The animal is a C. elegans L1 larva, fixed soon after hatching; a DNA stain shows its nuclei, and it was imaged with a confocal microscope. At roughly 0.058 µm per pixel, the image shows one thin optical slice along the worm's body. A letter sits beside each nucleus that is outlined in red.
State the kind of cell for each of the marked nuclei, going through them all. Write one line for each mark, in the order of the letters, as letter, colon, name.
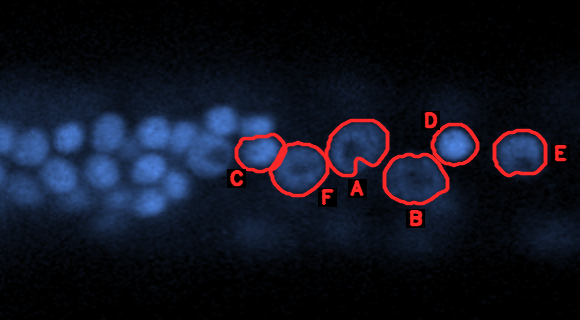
A: hypodermal cell (hyp)
B: hypodermal cell (hyp)
C: glial cell (sheath or socket)
D: neuron
E: seam cell
F: hypodermal cell (hyp)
